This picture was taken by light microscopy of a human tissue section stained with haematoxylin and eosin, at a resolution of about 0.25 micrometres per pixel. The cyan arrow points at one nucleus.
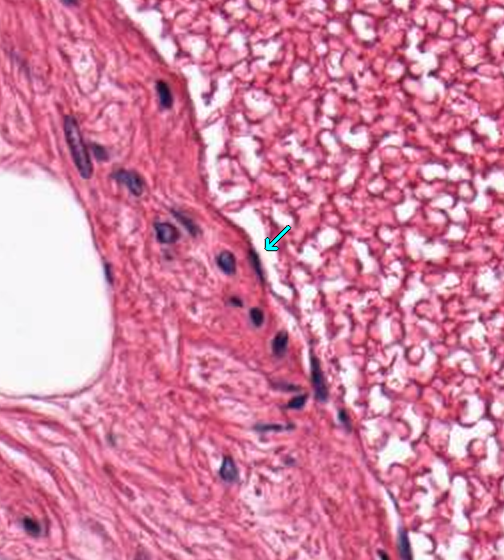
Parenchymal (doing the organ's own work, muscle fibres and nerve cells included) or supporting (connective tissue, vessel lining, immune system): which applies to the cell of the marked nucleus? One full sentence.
The cell to which the marked nucleus belongs is a supporting cell.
